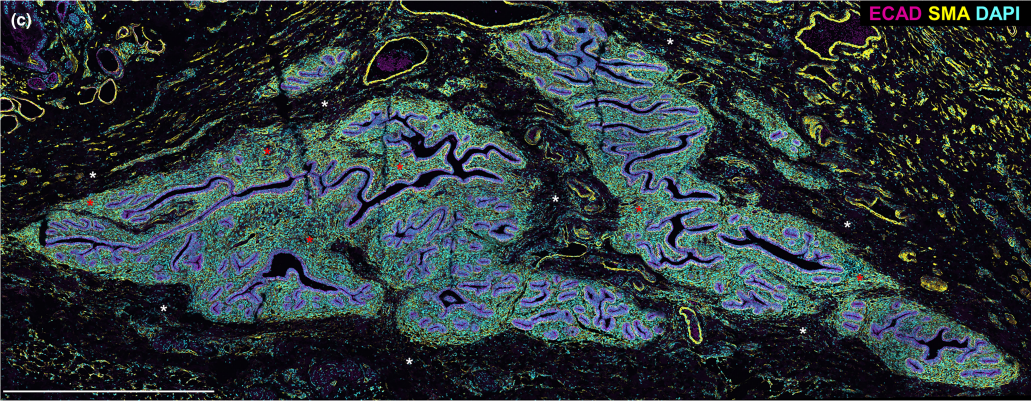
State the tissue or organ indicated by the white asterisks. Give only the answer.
interlobular mammary stroma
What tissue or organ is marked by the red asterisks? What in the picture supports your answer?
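Intralobular mammary stroma. The red asterisks lie inside the bright, cell-dense lobules among the branching ducts. The tissue at the red asterisks is cellular and loose, unlike the dark tissue surrounding the lobules.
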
